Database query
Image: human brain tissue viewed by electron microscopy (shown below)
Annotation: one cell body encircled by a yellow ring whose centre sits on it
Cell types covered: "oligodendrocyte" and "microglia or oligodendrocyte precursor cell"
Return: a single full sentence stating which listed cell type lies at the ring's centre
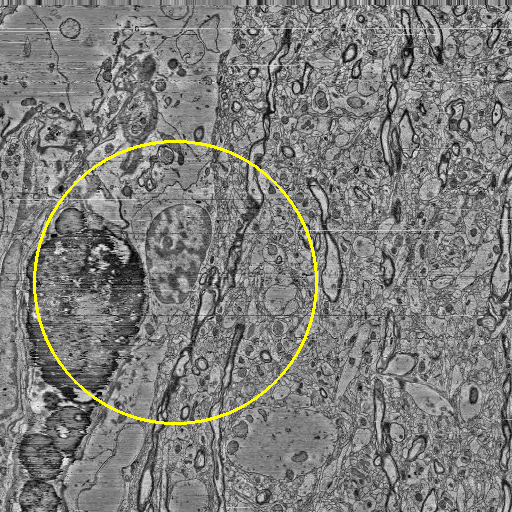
In the image, the cell lying at the ring's centre is a microglial cell or oligodendrocyte precursor cell.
